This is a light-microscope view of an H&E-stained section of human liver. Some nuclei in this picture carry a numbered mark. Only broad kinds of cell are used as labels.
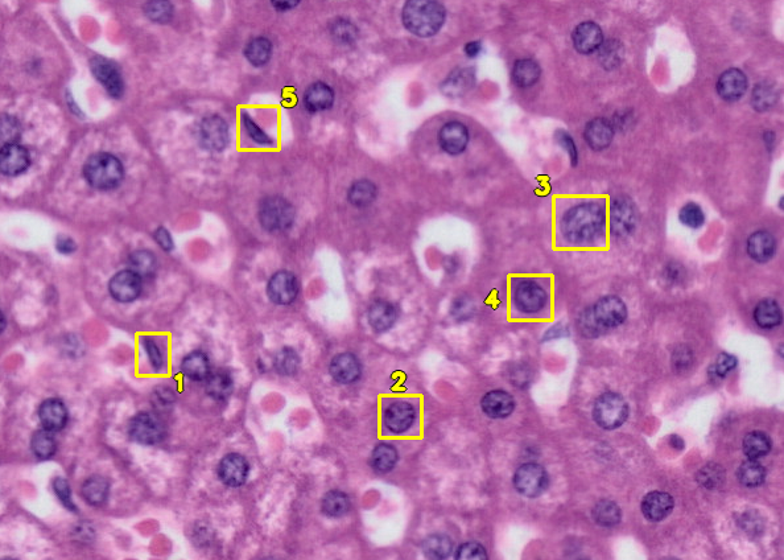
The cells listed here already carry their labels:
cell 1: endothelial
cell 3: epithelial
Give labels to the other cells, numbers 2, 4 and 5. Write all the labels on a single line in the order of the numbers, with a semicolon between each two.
epithelial; epithelial; endothelial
